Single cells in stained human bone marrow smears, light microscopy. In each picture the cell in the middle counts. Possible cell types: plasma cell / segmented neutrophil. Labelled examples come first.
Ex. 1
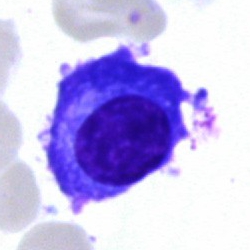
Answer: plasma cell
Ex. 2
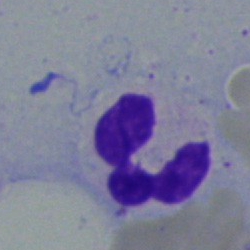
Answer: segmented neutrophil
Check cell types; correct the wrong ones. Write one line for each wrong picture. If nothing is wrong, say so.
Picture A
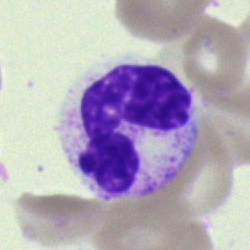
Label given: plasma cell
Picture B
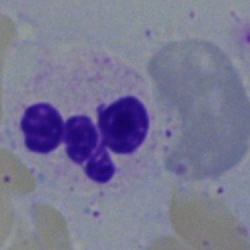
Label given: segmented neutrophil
A is labelled plasma cell; correct label: segmented neutrophil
